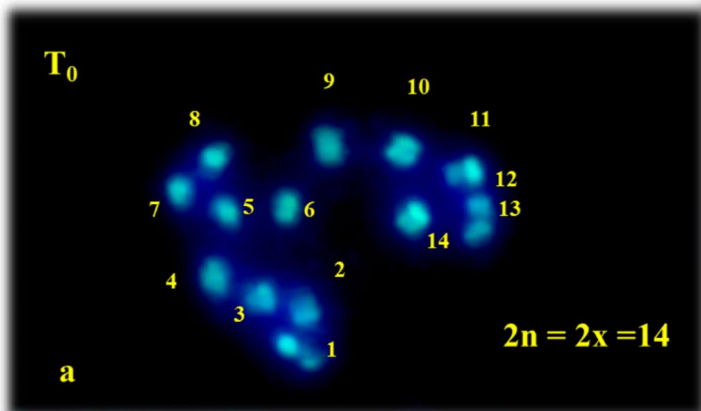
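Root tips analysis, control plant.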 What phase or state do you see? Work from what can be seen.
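Mitosis. The chromatin is condensed into separate compact bright bodies. The individual chromosomes lie spread apart against a dark field with no intact nucleus around them.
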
